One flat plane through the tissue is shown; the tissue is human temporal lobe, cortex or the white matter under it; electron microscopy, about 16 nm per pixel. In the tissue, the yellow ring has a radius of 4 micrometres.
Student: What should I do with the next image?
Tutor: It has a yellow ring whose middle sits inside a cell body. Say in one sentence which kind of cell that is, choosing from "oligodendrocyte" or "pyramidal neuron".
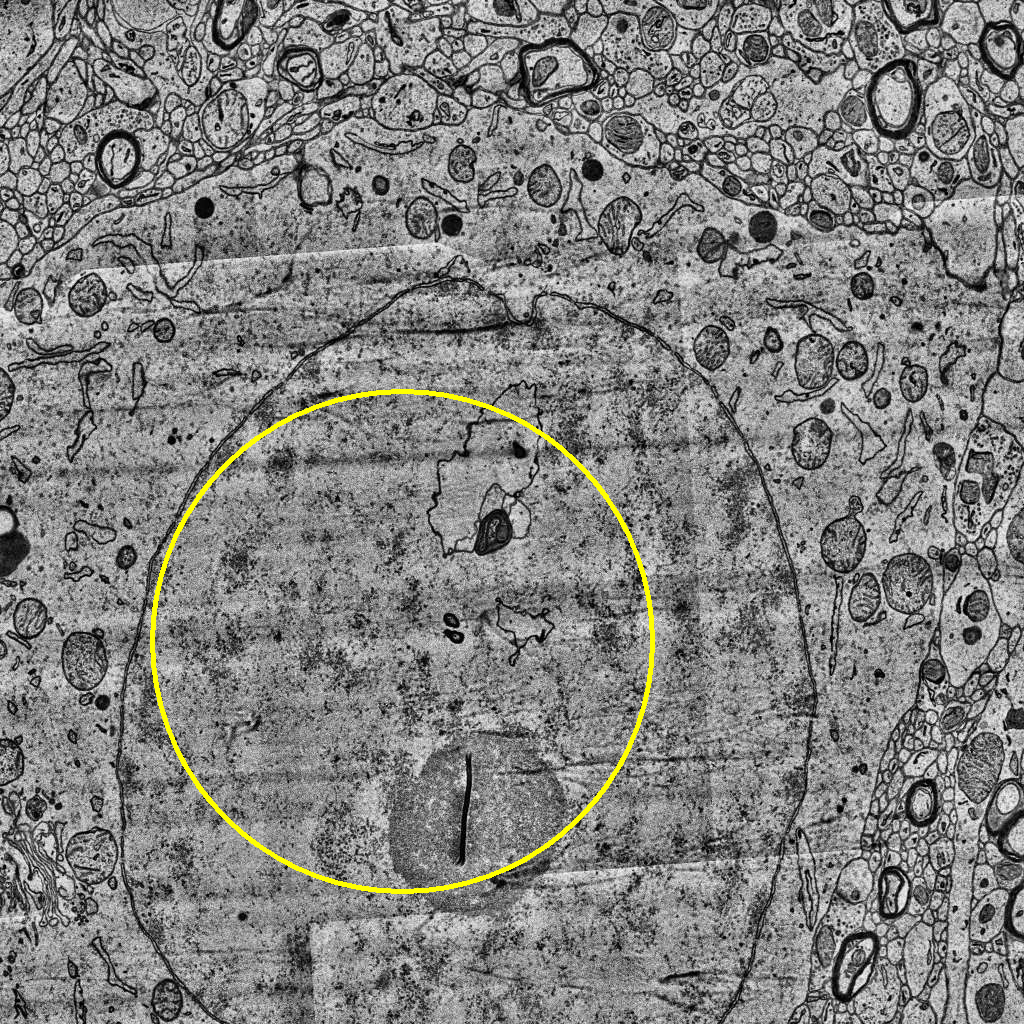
The ring's centre is occupied by a pyramidal neuron.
